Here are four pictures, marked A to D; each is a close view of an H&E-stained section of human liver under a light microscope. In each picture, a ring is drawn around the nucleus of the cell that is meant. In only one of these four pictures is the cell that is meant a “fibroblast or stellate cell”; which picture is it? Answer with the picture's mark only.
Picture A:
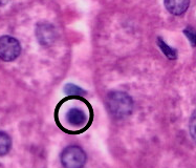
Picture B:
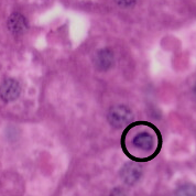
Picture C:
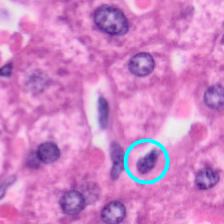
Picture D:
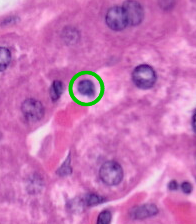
B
